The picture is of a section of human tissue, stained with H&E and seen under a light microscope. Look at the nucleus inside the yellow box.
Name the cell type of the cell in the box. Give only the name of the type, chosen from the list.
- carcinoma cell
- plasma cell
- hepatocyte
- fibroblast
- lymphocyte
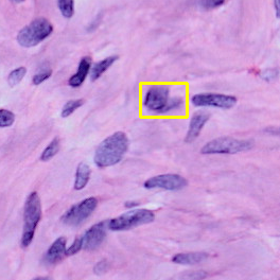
fibroblast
